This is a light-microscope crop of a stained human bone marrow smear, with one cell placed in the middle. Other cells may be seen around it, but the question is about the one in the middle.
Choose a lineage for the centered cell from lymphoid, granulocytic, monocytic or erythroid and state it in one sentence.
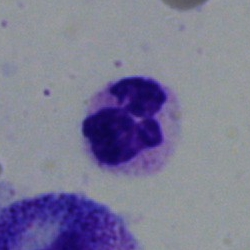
The cell in the middle of the frame falls under the granulocytic lineage.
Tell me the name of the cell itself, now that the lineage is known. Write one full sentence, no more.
At the center of the crop sits a segmented neutrophil.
